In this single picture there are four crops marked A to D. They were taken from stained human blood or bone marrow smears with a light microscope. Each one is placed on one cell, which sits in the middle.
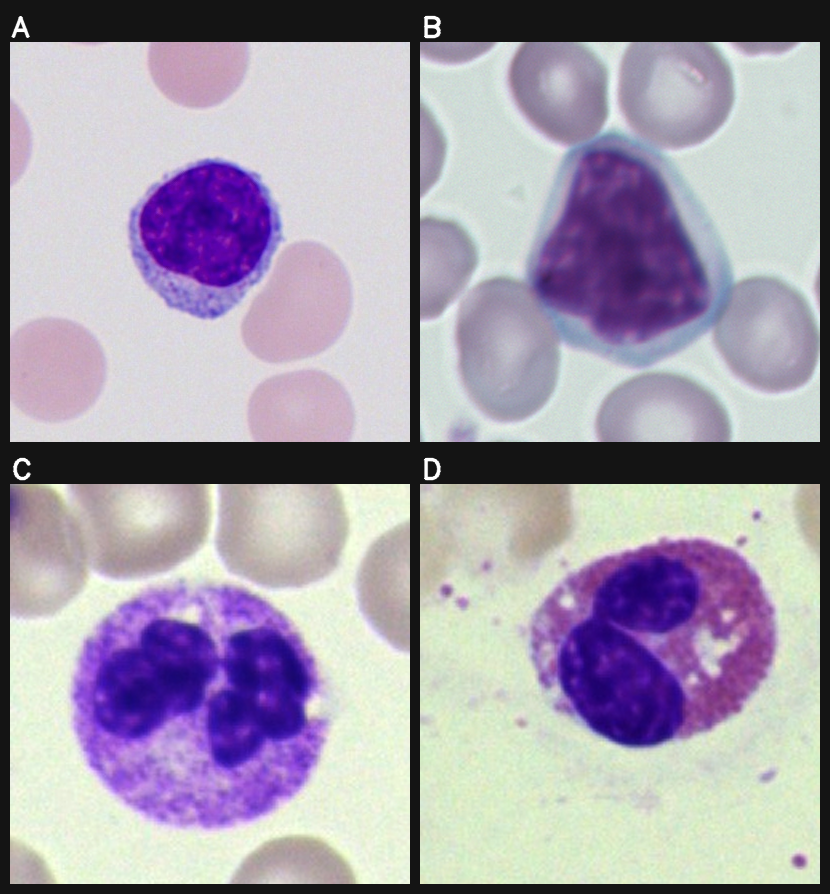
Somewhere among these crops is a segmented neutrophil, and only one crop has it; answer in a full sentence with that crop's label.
Selected crop: C, which is the one that shows a segmented neutrophil.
